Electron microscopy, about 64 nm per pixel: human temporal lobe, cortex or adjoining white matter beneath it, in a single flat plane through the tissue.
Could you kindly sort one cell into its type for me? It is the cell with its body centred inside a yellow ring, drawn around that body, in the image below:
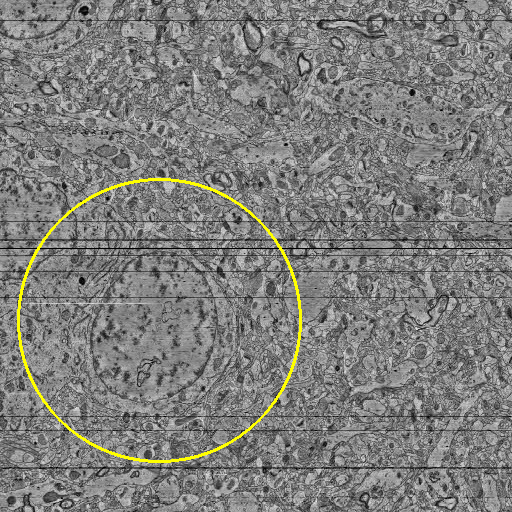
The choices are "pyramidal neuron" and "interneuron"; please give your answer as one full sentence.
The cell whose body lies centred in the yellow ring here is a pyramidal neuron.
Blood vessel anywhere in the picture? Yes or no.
No, none is visible.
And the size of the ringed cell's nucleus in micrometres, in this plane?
In this plane the nucleus spans approximately 10 by 8 micrometers.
